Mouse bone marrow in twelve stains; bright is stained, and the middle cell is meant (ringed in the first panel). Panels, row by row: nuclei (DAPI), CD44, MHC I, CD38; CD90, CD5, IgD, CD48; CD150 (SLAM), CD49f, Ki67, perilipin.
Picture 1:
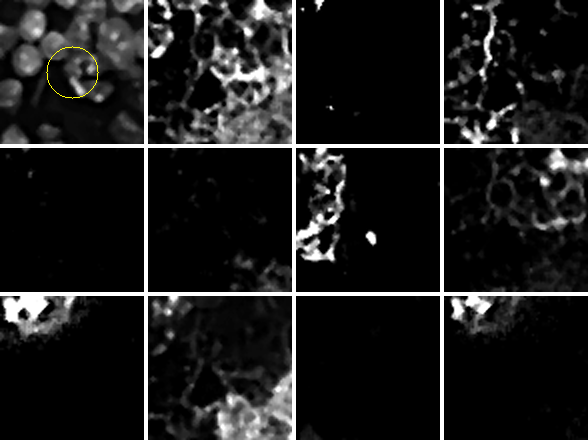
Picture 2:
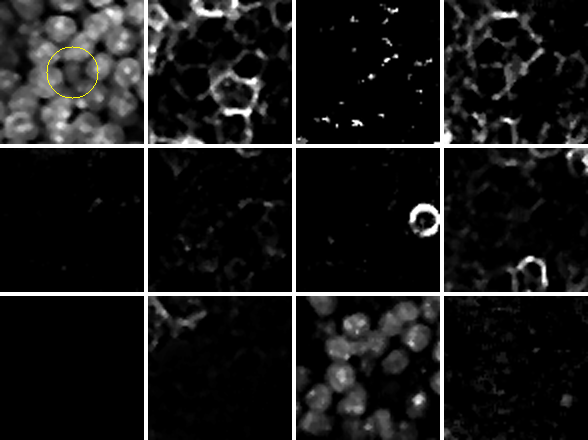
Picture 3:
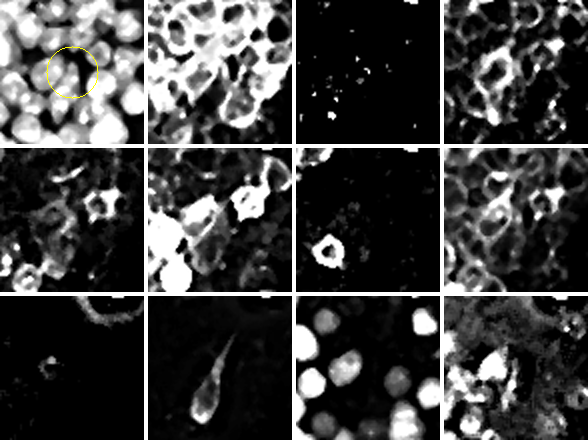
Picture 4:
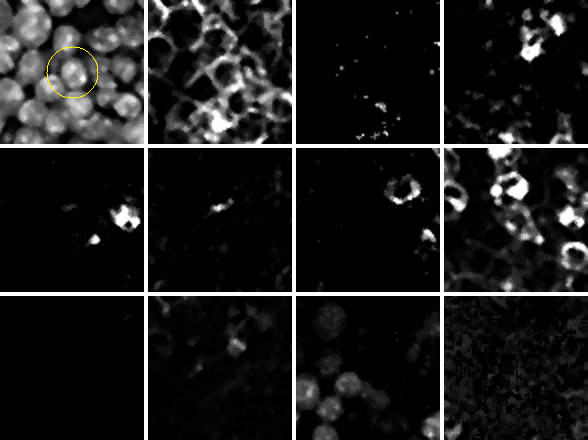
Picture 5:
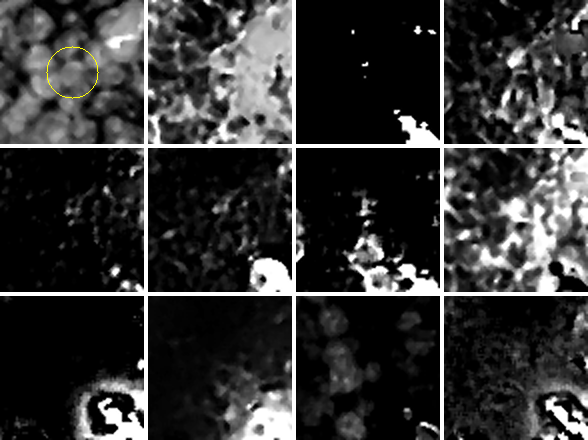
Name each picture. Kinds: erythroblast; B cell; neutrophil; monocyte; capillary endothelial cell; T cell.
Picture 1: neutrophil
Picture 2: erythroblast
Picture 3: capillary endothelial cell
Picture 4: monocyte
Picture 5: B cell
